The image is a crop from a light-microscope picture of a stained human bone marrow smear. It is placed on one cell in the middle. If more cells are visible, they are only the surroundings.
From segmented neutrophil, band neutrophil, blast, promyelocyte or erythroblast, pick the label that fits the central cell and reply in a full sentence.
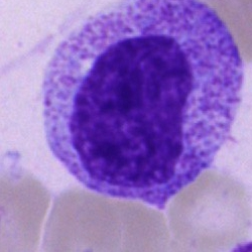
Regarding the central cell, it is a promyelocyte.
